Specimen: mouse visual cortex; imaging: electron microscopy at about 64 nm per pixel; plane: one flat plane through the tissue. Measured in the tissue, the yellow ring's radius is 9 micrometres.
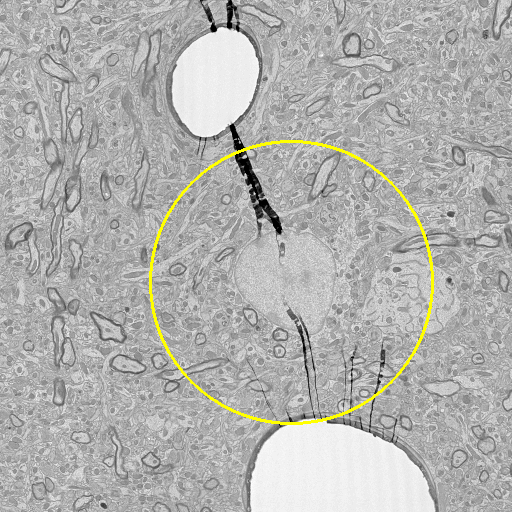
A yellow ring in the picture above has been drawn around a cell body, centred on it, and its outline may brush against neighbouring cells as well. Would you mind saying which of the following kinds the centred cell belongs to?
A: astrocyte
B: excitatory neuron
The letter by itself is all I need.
A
